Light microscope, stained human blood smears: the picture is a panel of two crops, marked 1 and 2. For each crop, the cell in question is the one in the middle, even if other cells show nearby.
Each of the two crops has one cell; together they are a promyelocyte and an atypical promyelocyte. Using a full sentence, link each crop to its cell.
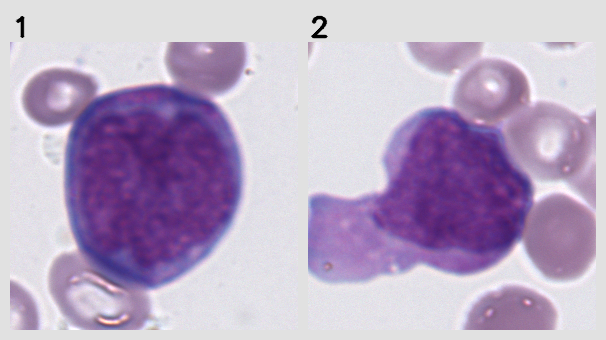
Shown in crop 1 is a promyelocyte, and shown in crop 2 is an atypical promyelocyte.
